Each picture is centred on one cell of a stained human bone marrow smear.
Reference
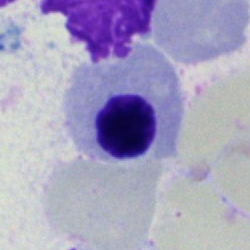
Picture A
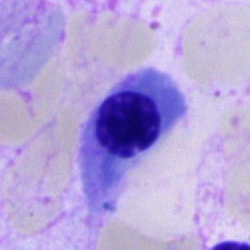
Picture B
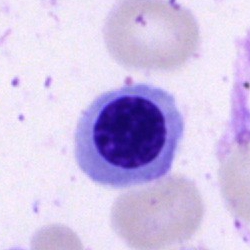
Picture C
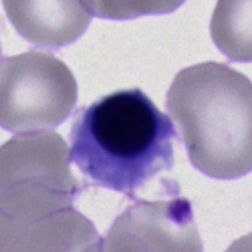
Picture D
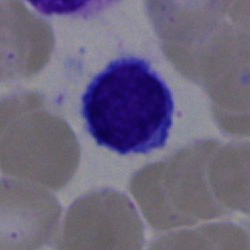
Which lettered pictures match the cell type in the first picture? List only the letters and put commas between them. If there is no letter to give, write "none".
A, B, C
